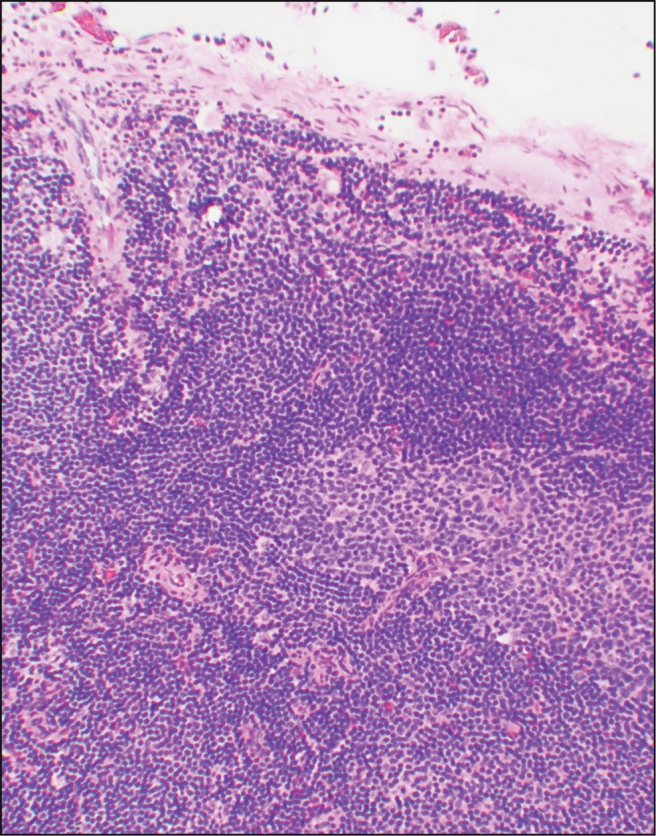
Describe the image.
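This is a portion of lymph node stained pink and purple, showing a normal-appearing lymphoid structure. Most of the field is filled with small round lymphocytes with dark purple nuclei and little cytoplasm, packed closely together. At the top a thin pink fibrous capsule with loose connective tissue and small vessels covers the node. Within the lymphoid tissue there are darker, more crowded zones and paler zones with scattered small blood vessels. No cells stand out from the lymphoid population as obvious tumor cells at this magnification.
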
